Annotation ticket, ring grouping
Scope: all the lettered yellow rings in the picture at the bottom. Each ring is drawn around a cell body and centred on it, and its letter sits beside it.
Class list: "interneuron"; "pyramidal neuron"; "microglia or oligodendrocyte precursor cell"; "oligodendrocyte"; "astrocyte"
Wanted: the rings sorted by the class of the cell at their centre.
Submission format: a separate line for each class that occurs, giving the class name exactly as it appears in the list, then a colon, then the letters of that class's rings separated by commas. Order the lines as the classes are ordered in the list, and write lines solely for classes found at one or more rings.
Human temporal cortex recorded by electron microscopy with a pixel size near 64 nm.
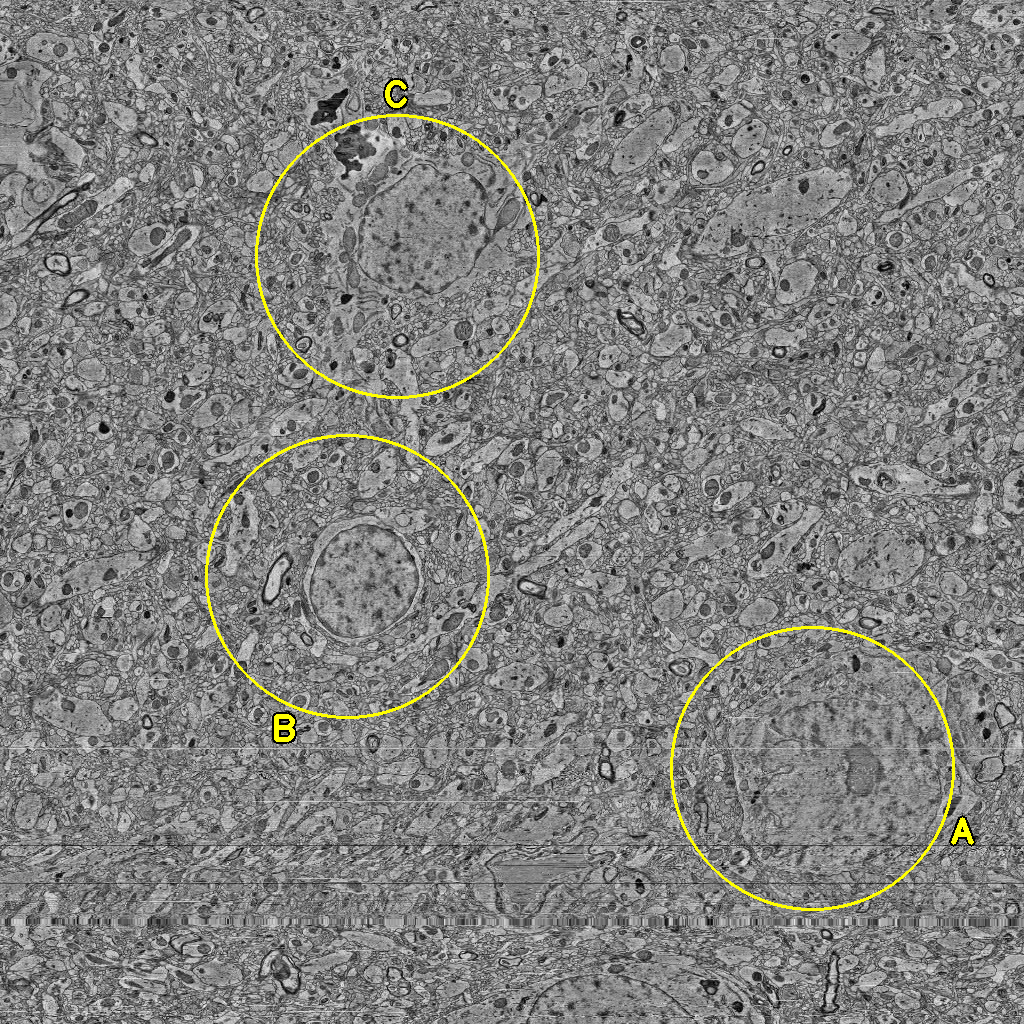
interneuron: A
microglia or oligodendrocyte precursor cell: B
astrocyte: C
